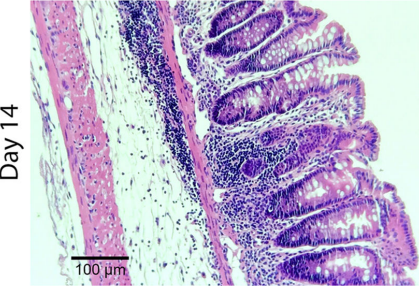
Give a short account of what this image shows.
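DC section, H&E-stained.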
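This is a section through the wall of the colon, with the mucosa on the right and the muscle layer on the left. The crypts run in parallel, lined by epithelium with many pale goblet cells and purple-staining nuclei at their bases. Beneath the crypts a broad band of densely packed dark-purple nuclei marks an infiltrate of inflammatory cells in the submucosa. Outside this band the loose, pale connective tissue is widened and carries scattered cells, before the pink muscle layer at the far left.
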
